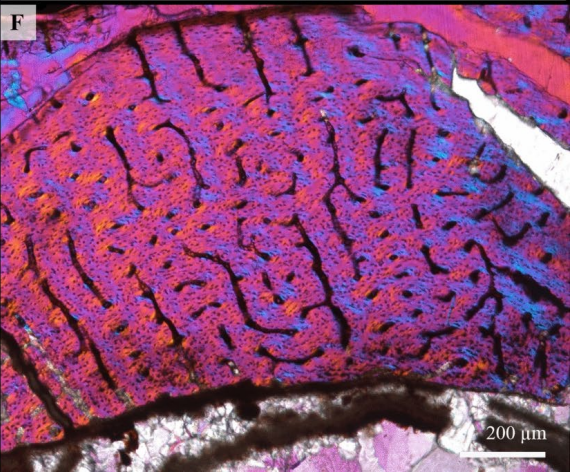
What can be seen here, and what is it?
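A curved band of bone cortex appears in magenta and blue interference colours, crossed by long, dark, often branching vascular canals. Many canals run roughly from the inner toward the outer surface, giving a radial pattern, while some curve and link up. Tiny dark dots, the osteocyte lacunae, are densely scattered in the matrix between the canals. The inner margin at the bottom is a dark line bordering crystalline infill of the marrow cavity, and few rounded remodeling structures are seen.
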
